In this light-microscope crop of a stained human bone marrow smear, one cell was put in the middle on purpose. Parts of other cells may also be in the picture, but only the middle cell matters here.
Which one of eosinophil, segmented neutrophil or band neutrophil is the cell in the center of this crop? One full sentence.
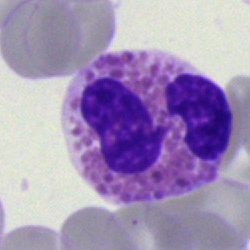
Here the cell in the middle is an eosinophil.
